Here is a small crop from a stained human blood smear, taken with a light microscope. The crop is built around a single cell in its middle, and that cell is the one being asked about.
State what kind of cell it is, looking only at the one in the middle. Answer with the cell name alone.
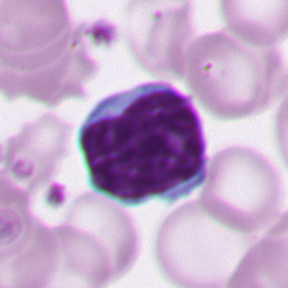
typical lymphocyte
